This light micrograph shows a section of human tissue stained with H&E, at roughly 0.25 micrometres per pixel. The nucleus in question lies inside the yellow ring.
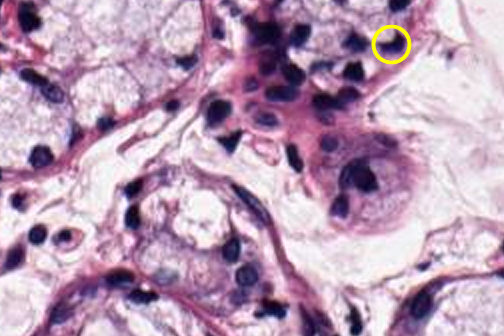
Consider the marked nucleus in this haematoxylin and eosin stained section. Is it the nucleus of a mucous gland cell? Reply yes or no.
yes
